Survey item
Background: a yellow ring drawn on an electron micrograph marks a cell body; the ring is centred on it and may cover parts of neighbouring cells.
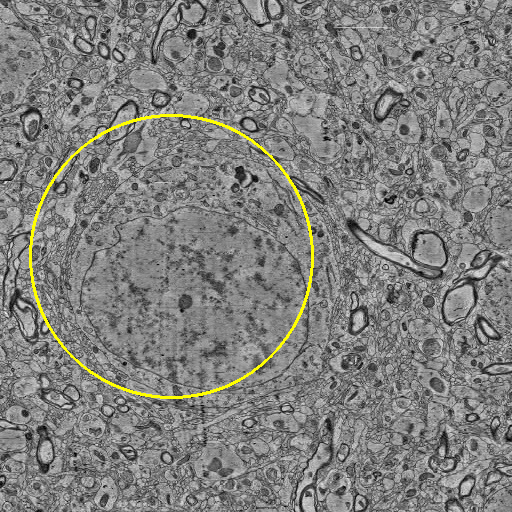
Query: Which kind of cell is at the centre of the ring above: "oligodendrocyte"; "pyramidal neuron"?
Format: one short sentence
The cell in the middle of the ring is a pyramidal neuron.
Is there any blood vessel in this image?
No, a blood vessel is absent from this picture.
